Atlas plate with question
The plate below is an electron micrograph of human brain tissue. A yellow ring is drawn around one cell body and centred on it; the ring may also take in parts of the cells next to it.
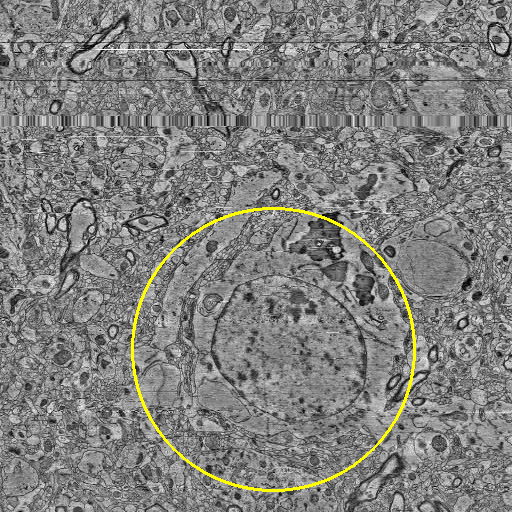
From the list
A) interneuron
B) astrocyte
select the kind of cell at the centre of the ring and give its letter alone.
B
